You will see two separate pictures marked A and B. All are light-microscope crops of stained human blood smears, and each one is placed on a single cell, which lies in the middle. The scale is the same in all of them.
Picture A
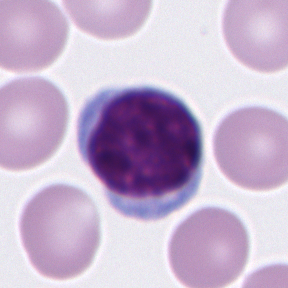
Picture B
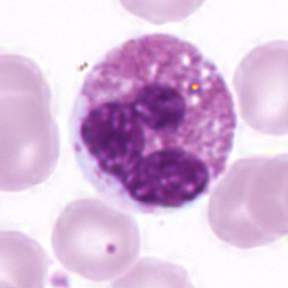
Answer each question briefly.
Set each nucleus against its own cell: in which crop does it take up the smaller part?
B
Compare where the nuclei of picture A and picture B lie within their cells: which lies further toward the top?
A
